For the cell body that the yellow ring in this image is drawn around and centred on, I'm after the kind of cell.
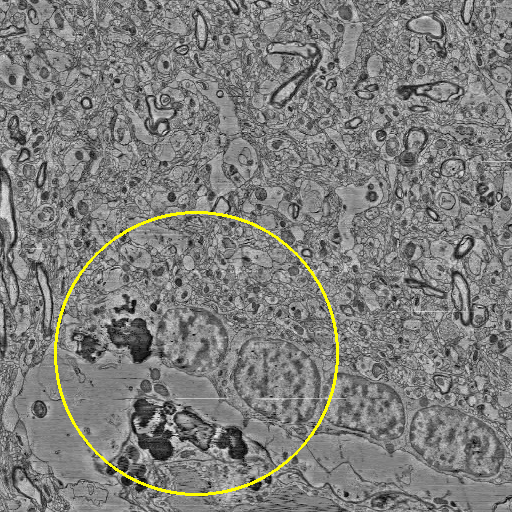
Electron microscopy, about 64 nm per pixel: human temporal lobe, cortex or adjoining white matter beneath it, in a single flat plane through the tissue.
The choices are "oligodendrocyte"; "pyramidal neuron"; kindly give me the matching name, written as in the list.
oligodendrocyte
